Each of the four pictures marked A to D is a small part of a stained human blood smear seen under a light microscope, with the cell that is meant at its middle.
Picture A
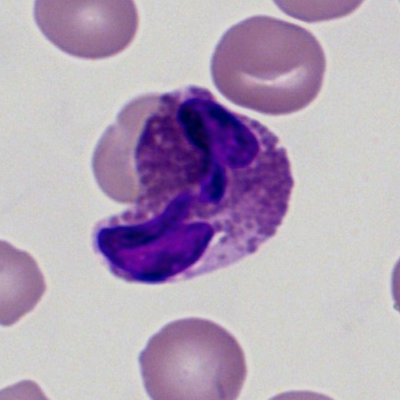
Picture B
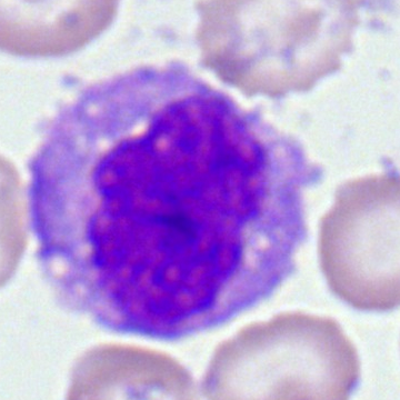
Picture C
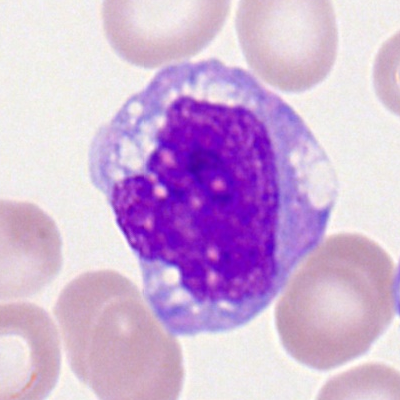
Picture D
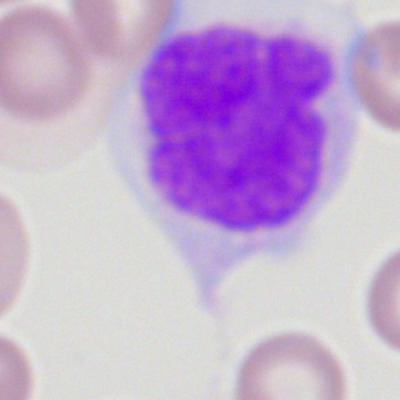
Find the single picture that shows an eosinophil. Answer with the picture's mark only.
A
